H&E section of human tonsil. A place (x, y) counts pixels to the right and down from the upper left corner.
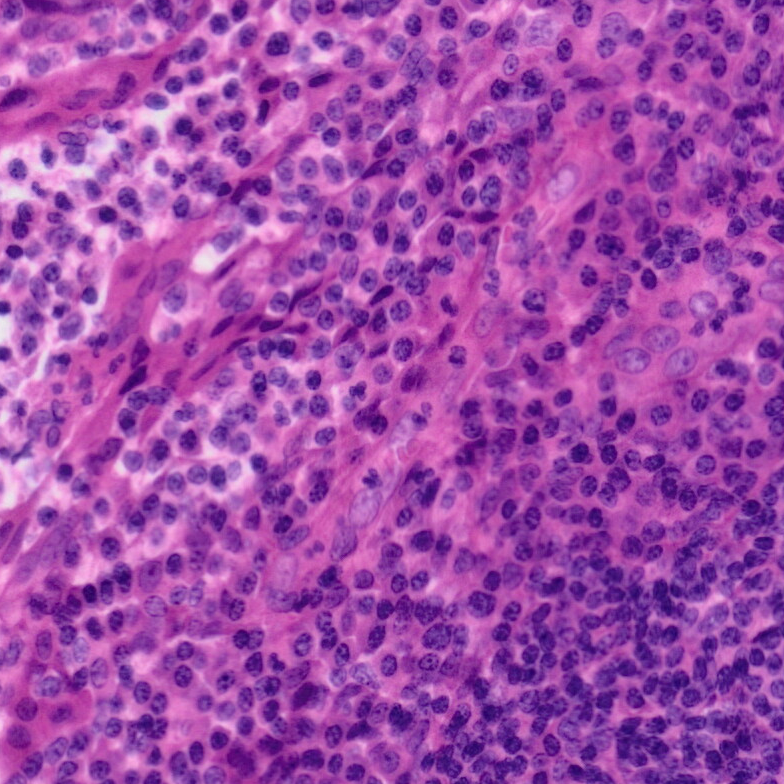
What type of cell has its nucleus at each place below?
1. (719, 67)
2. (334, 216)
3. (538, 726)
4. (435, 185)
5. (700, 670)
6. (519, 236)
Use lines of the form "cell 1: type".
cell 1: plasma cell
cell 2: plasma cell
cell 3: small lymphocyte
cell 4: plasma cell
cell 5: small lymphocyte
cell 6: endothelial cell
